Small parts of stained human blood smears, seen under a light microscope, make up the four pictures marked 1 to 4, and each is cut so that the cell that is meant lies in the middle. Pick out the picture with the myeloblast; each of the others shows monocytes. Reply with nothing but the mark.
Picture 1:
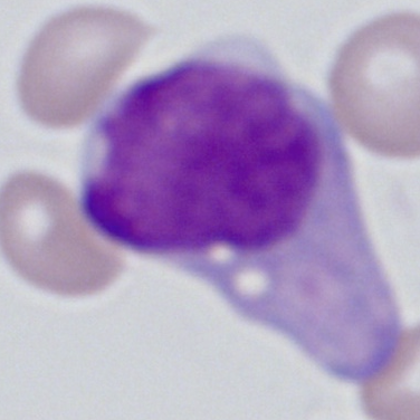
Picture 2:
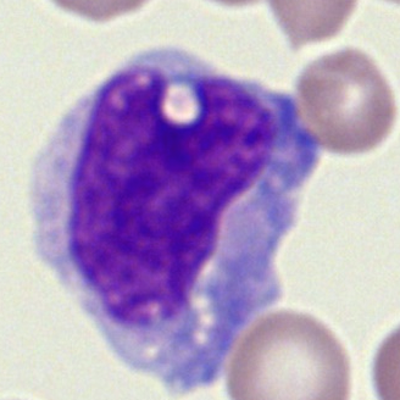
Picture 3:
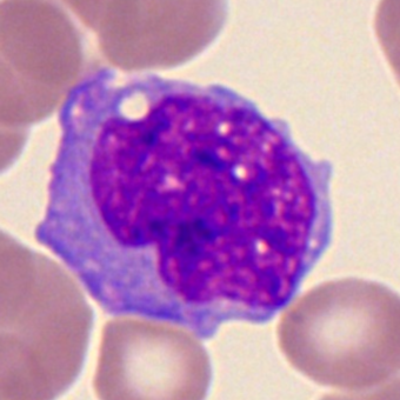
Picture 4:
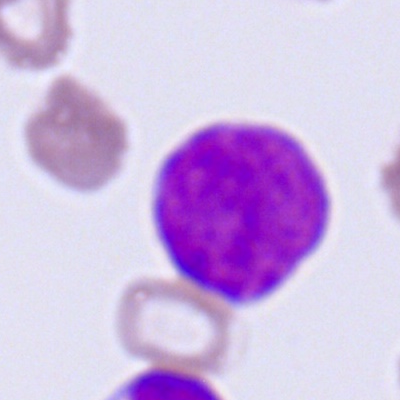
4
